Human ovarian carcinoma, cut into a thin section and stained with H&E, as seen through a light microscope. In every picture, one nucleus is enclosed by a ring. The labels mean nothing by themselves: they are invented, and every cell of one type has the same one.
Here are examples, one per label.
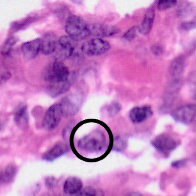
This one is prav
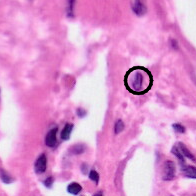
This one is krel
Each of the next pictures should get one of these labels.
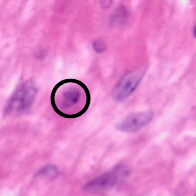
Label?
krel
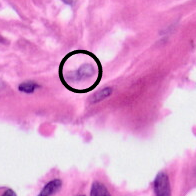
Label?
krel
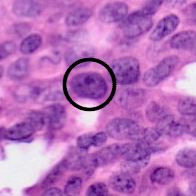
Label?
prav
